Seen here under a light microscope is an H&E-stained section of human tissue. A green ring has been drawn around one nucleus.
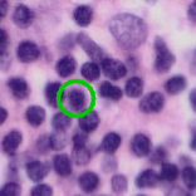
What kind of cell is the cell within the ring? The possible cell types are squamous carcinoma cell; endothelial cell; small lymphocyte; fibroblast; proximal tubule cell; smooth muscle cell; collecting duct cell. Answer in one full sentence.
Considered by cell type, the cell within the ring is a small lymphocyte.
